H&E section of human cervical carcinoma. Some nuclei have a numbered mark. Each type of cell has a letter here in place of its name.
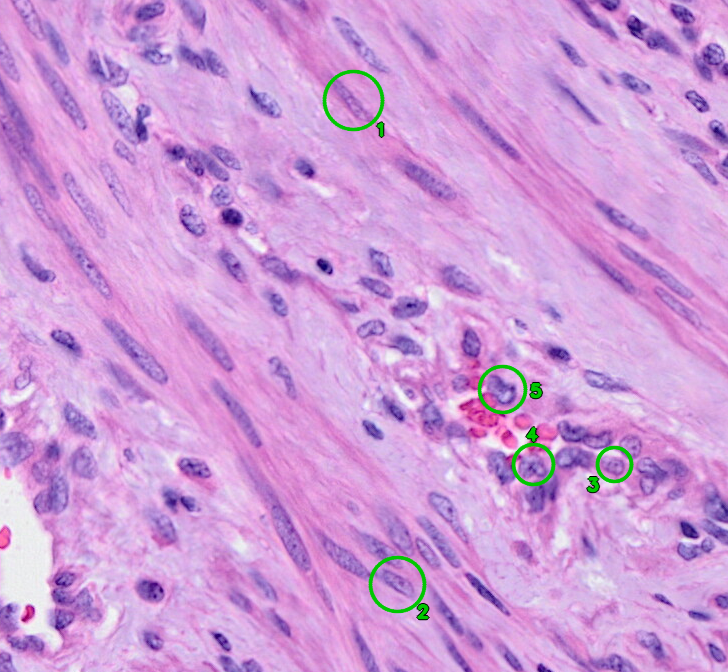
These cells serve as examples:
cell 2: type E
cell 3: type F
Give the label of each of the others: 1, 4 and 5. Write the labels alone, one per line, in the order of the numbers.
type E
type F
type F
